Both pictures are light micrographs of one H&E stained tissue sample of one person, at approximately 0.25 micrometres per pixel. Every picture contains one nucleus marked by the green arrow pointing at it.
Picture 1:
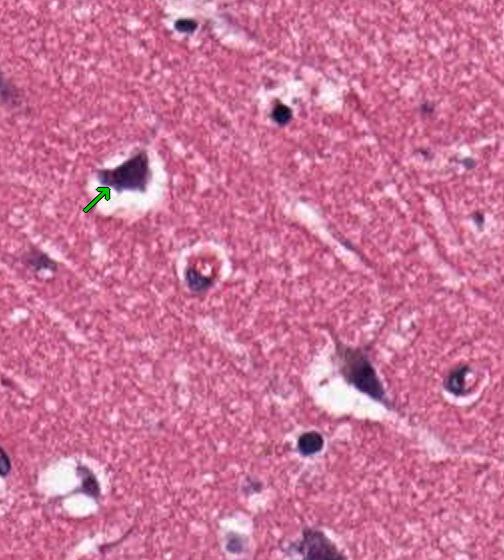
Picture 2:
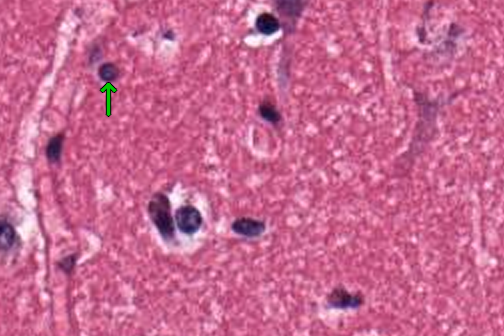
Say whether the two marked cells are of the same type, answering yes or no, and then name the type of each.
No, the first is a neuron and the second an oligodendrocyte.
